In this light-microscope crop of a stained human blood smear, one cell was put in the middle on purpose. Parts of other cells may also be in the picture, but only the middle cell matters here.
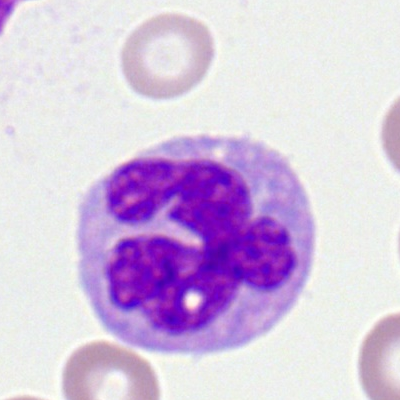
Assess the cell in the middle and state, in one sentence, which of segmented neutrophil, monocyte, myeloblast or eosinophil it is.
The cell at the centre of the field is a monocyte.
